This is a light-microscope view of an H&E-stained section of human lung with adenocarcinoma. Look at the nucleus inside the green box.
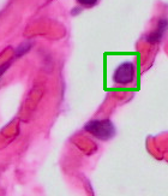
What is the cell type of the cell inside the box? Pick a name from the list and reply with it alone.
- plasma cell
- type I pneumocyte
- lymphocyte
type I pneumocyte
